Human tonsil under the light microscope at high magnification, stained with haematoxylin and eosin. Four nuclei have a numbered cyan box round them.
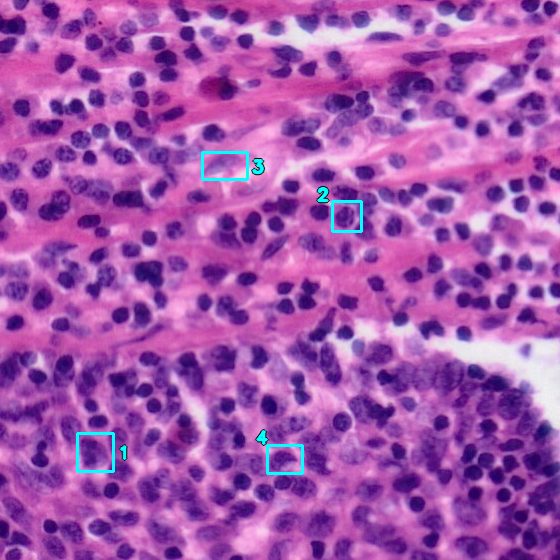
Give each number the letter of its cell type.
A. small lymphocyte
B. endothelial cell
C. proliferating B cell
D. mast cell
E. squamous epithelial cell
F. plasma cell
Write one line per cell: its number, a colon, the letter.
1: E
2: F
3: B
4: E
